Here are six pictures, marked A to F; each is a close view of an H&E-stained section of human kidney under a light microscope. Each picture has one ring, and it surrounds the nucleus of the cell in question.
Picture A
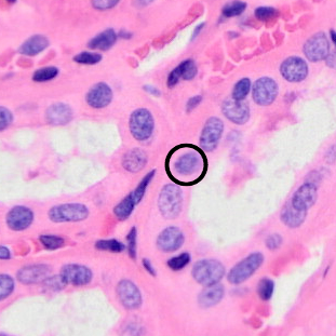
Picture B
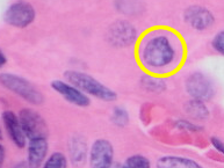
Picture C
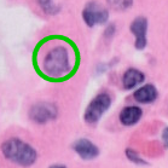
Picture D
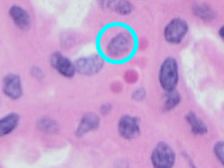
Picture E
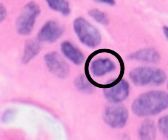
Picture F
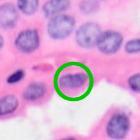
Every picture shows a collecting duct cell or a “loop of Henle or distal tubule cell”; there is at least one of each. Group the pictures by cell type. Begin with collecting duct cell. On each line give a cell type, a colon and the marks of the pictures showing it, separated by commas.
collecting duct cell: A, D, E
loop of Henle or distal tubule cell: B, C, F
